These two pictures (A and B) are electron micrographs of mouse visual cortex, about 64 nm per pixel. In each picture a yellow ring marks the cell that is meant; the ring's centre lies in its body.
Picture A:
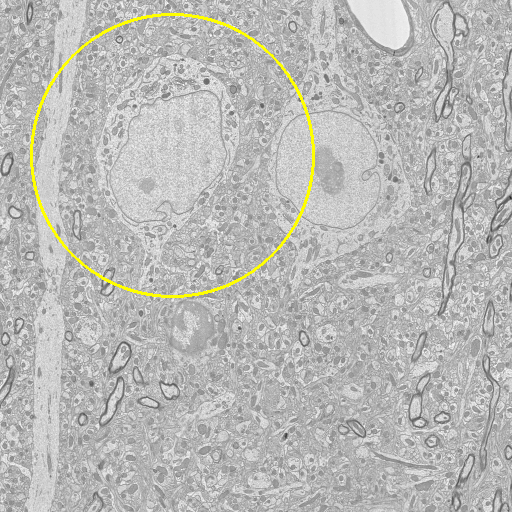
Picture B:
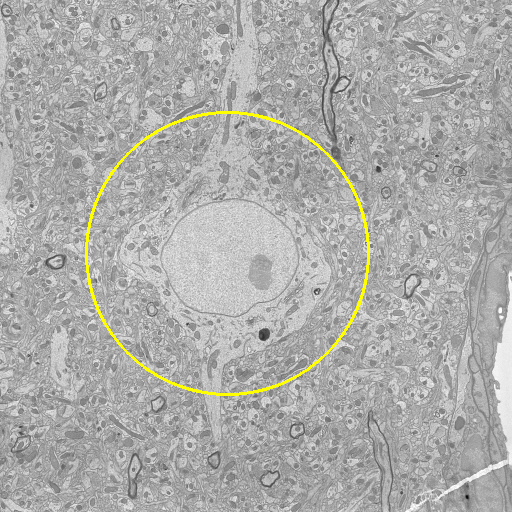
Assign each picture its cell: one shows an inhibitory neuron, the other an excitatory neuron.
It is picture A that shows an inhibitory neuron, and picture B that shows an excitatory neuron.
